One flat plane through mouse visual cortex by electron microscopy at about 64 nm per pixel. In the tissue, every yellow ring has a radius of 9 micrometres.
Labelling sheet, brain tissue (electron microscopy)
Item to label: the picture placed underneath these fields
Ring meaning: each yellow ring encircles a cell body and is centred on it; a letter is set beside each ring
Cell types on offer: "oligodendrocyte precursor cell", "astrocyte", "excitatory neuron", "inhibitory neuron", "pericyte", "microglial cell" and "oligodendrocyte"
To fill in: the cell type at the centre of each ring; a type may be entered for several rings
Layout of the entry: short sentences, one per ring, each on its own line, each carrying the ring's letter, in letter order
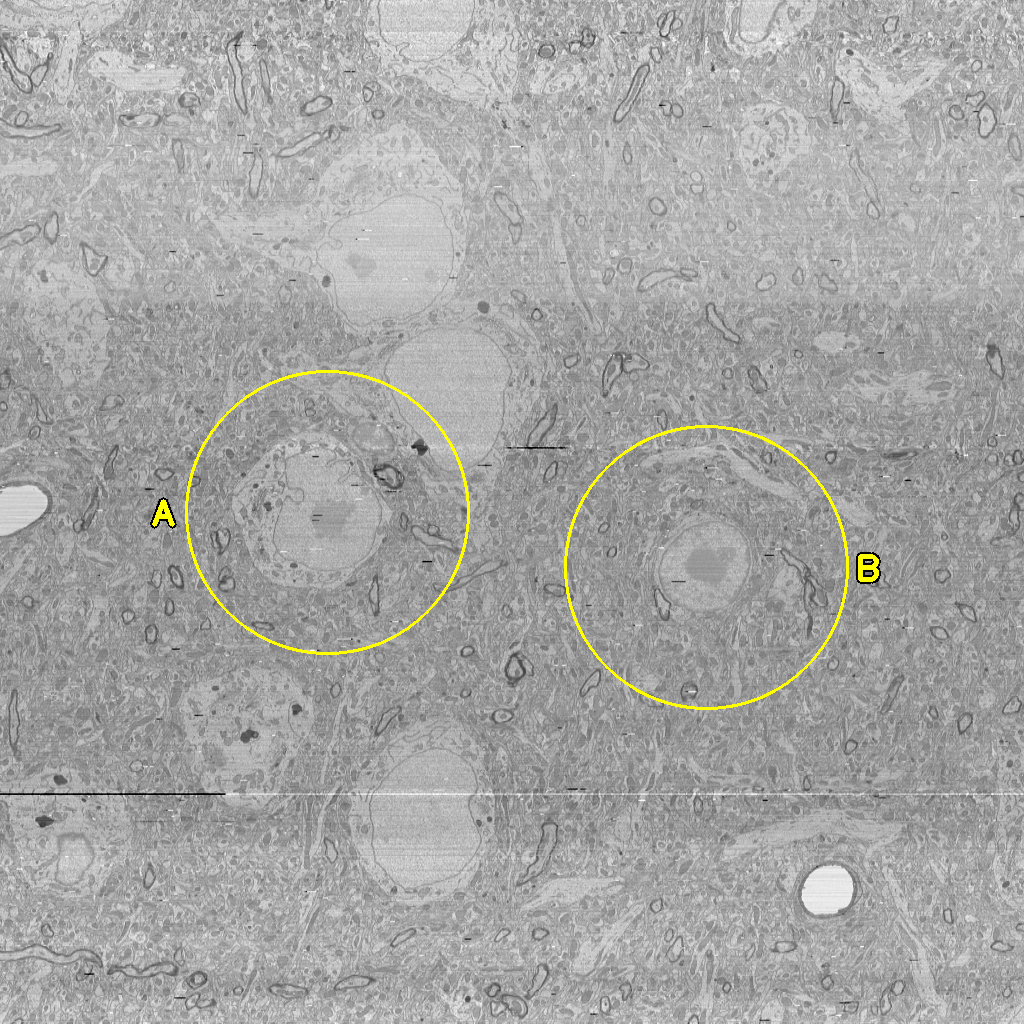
Ring A encircles the body of an inhibitory neuron.
Ring B encircles the body of an oligodendrocyte.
